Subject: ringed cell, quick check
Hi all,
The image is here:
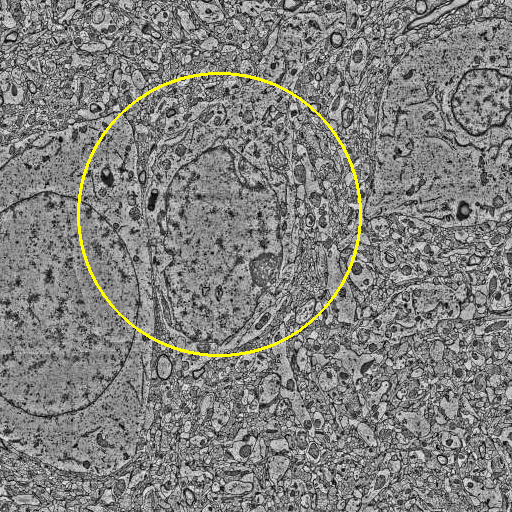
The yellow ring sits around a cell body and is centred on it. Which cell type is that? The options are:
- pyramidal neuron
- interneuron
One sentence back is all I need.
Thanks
That ringed cell is an interneuron.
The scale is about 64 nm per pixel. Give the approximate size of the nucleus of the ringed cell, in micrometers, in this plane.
Approximately 12 by 8 micrometers in this plane.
